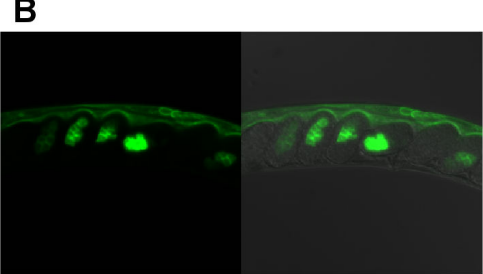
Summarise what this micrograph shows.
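A row of oval embryos lies within the worm, several of them holding bright green fluorescent patches of varying intensity. Faint green fluorescence also lines the body of the parent worm along its edge.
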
